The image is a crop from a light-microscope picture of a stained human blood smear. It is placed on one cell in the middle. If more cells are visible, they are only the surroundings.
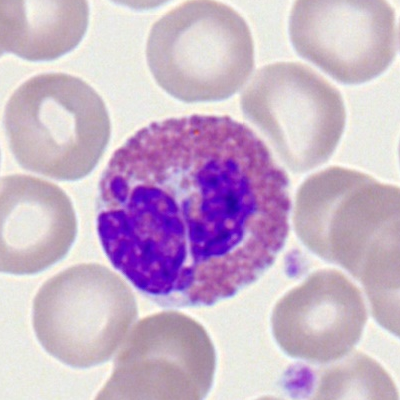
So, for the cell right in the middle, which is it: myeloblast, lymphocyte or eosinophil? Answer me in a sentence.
This crop has an eosinophil at its centre.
